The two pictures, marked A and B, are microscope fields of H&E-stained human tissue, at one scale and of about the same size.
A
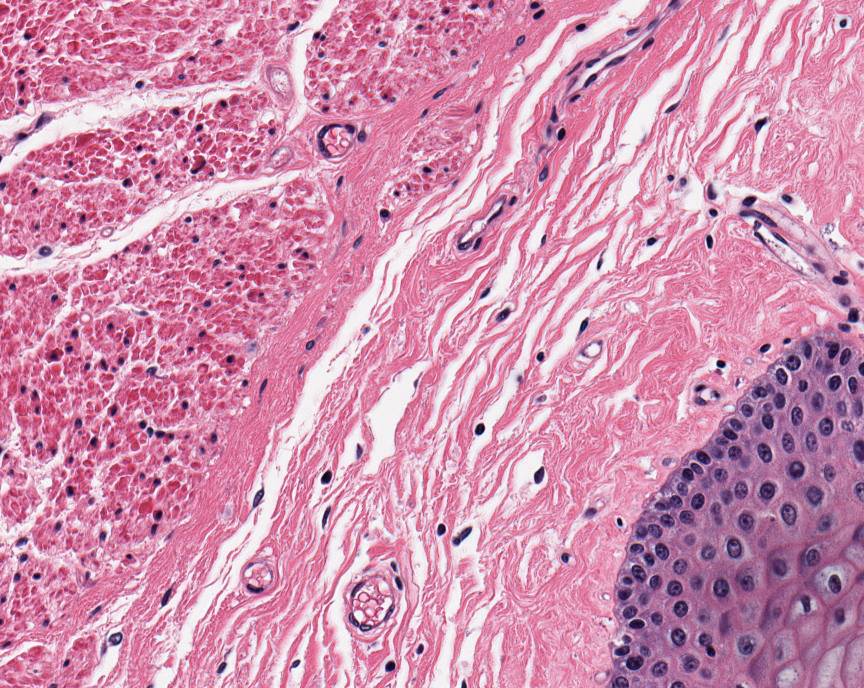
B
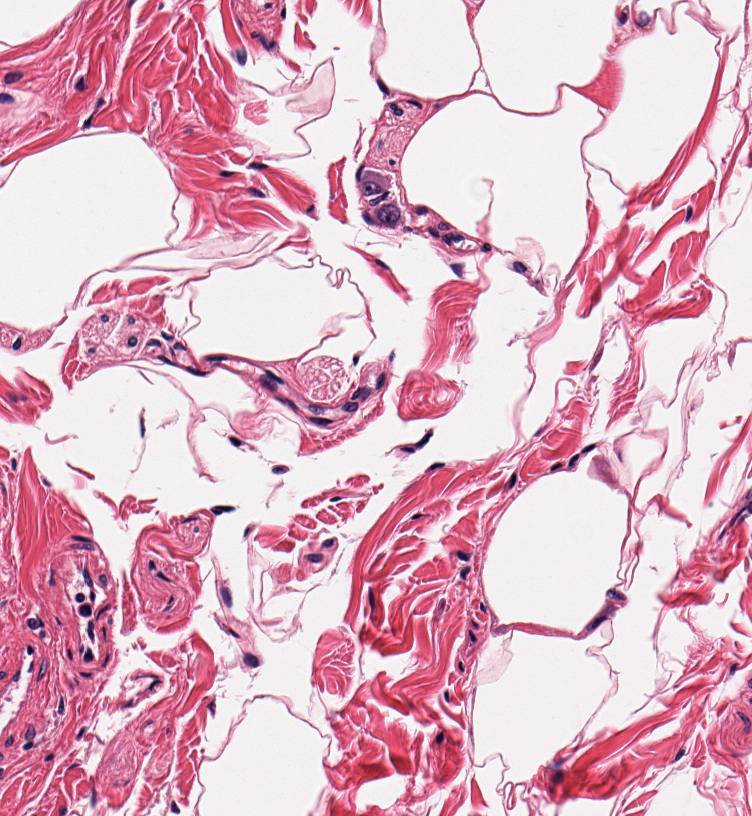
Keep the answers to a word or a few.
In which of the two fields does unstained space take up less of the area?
A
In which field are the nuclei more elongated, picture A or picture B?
B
